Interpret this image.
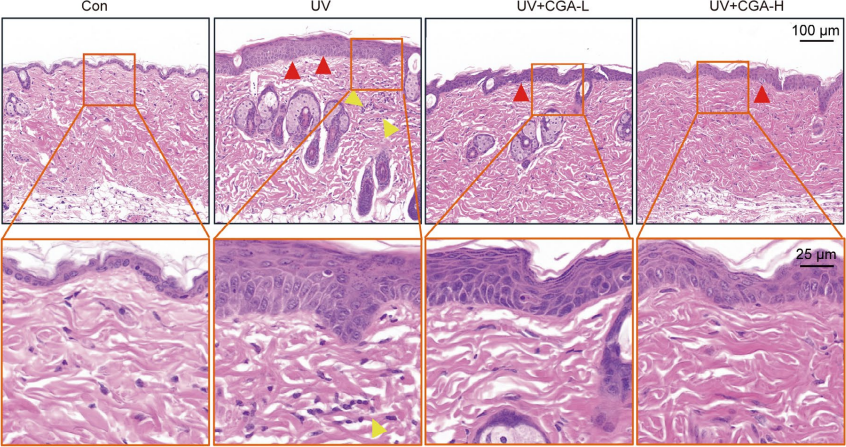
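The thin purple band along the top is the epidermis, the pink wavy collagen below is the dermis, and rounded glands and hair follicles sit deeper down. In the second image it is much thicker, with many layers of cells that have purple nuclei, and it bulges down into the dermis. Small dark round nuclei are scattered through that dermis, marking inflammatory infiltration. In the two right images the epidermis is thinner again, though still somewhat thicker than in the leftmost image.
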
